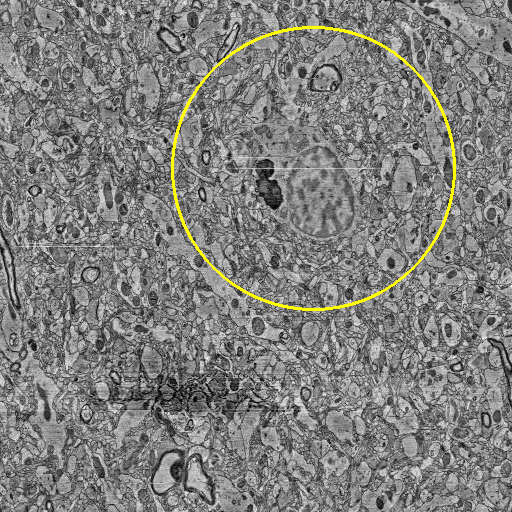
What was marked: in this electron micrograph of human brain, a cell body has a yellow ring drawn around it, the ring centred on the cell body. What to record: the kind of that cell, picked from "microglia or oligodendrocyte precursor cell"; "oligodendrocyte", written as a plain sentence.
The centred cell is an oligodendrocyte.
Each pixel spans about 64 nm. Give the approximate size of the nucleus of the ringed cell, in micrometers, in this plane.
In this plane the nucleus measures roughly 6 by 4 micrometres.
